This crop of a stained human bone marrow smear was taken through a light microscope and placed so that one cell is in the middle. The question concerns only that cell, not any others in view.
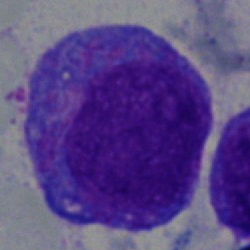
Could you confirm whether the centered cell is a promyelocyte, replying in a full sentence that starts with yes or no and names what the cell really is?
Yes, the cell that the crop is centered on is a promyelocyte.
